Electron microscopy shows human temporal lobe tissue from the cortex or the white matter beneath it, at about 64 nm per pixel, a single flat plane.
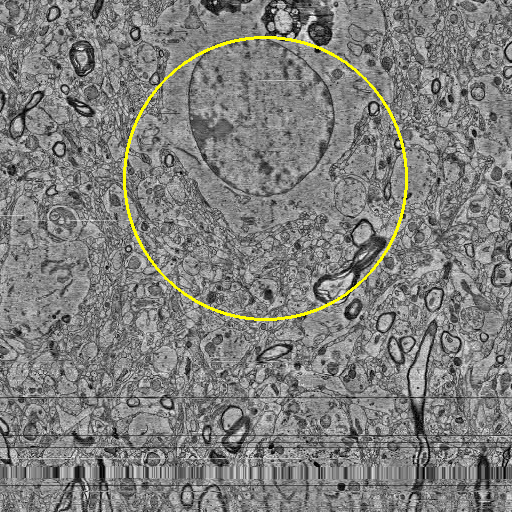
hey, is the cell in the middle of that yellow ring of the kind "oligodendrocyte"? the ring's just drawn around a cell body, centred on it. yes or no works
no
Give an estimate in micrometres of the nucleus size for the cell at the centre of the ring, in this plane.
The nucleus is approximately 11 micrometers long by 9 micrometers wide in this plane.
